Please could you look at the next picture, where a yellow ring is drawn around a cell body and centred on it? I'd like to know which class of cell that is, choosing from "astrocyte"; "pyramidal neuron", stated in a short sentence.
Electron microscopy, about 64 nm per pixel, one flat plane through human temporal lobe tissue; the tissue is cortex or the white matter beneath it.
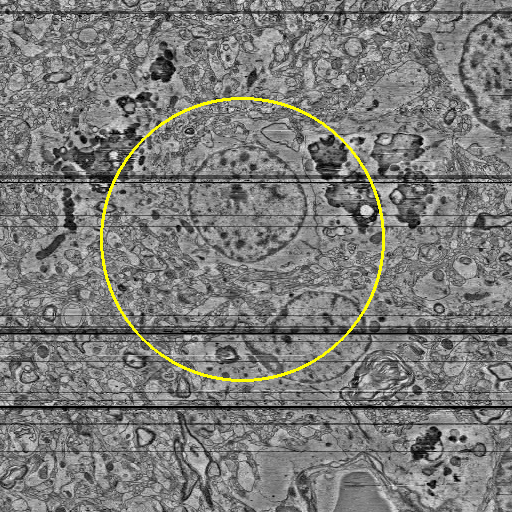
The ring's centre lies on an astrocyte.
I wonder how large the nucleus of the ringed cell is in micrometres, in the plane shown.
About 8 micrometers across, in this plane.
